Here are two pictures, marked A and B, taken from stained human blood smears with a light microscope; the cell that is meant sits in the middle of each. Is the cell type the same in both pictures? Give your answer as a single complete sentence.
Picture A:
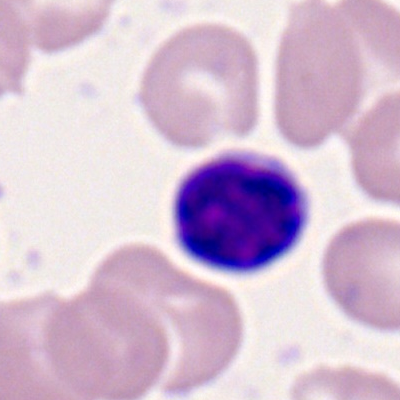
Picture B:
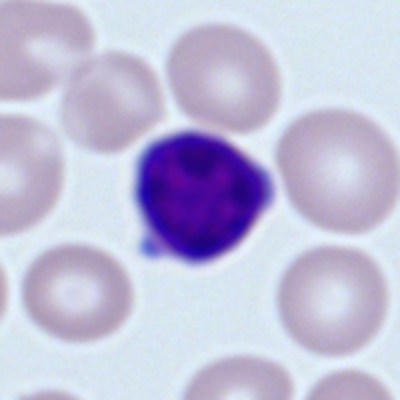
Yes, they are the same type: both are lymphocytes.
